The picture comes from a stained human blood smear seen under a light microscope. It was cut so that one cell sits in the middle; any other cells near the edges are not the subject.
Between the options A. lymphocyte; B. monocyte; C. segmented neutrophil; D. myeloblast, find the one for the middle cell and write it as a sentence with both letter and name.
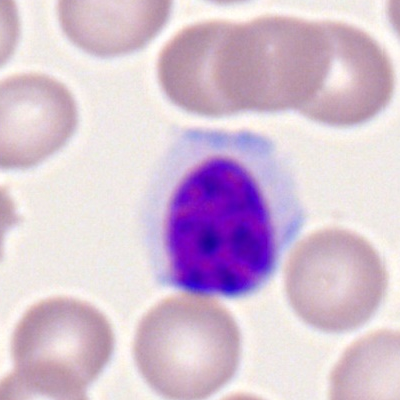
The cell at the centre, correctly named in option A, is a lymphocyte.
